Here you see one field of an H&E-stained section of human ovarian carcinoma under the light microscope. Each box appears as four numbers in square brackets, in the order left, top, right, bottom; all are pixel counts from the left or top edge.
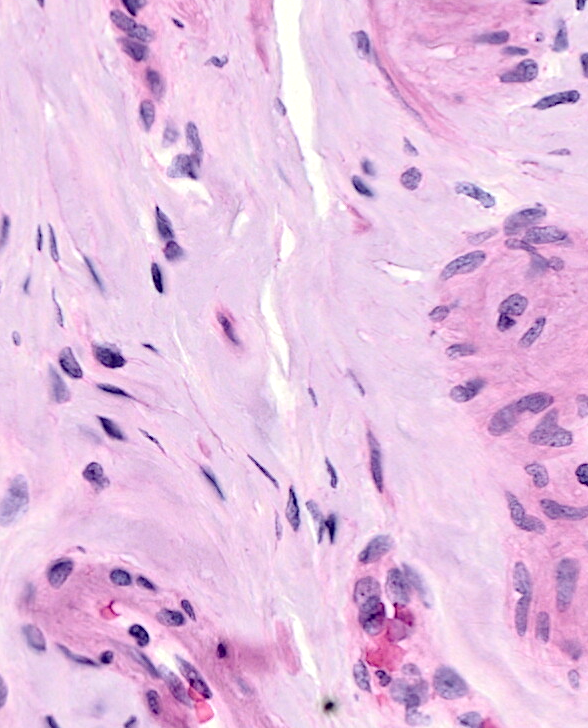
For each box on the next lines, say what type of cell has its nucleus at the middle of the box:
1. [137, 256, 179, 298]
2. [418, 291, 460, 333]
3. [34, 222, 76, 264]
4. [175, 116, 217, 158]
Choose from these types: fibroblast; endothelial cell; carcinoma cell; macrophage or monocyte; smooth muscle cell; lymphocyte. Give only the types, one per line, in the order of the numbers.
fibroblast
smooth muscle cell
fibroblast
fibroblast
